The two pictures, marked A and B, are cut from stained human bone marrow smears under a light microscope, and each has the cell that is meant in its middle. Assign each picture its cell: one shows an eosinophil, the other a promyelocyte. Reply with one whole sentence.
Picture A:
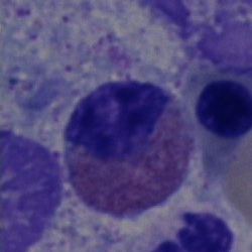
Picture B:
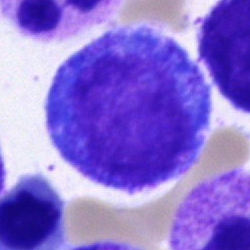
Picture A is of an eosinophil, and picture B is of a promyelocyte.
